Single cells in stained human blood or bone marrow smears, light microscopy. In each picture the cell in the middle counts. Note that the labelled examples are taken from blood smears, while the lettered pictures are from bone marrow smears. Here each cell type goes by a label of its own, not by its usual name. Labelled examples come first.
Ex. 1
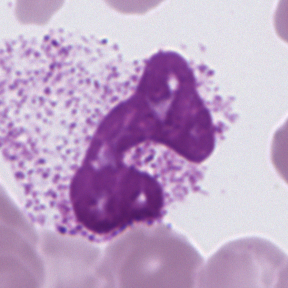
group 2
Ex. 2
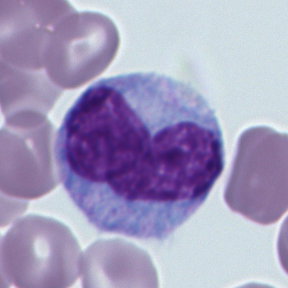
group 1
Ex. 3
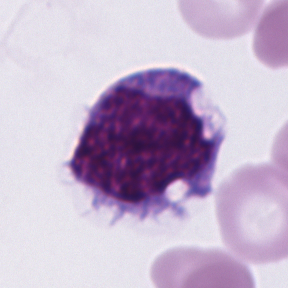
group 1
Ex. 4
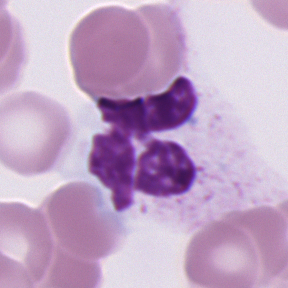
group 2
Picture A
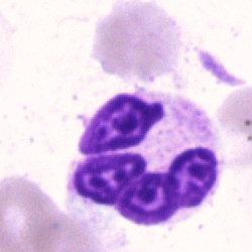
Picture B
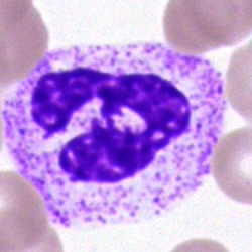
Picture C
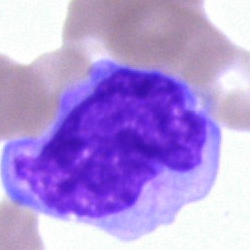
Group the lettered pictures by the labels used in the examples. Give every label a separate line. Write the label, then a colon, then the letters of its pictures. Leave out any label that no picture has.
group 2: A, B
group 1: C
